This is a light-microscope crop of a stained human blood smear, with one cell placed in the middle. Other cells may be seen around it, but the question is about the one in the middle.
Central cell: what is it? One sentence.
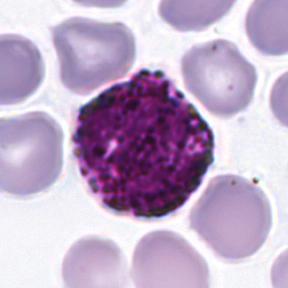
Standing at the centre of this crop is a basophil.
